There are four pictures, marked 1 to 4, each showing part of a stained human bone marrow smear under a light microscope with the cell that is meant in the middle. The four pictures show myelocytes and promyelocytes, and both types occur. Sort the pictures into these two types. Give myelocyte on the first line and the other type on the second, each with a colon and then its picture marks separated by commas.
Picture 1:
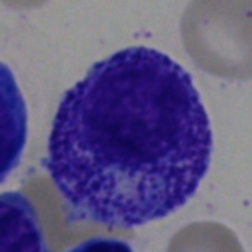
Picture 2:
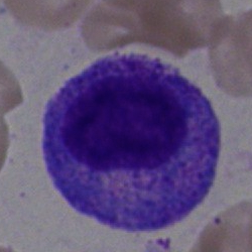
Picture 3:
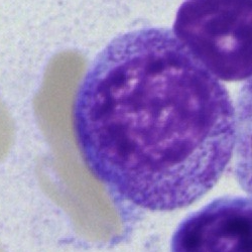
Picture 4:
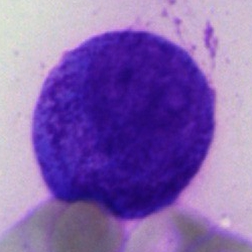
myelocyte: 1, 2, 3
promyelocyte: 4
